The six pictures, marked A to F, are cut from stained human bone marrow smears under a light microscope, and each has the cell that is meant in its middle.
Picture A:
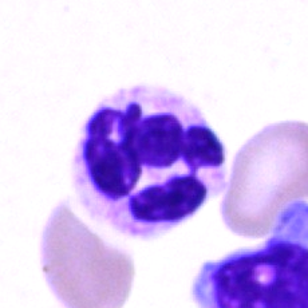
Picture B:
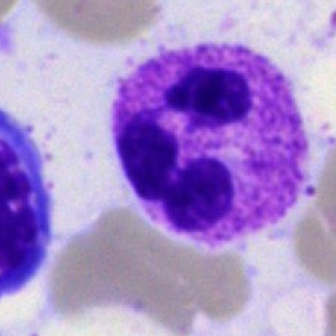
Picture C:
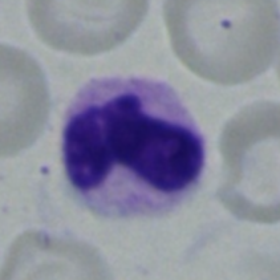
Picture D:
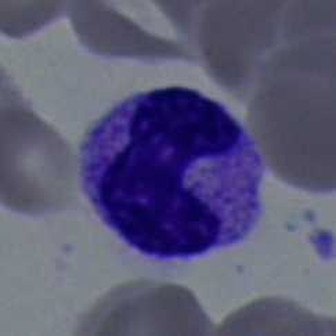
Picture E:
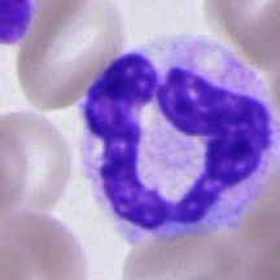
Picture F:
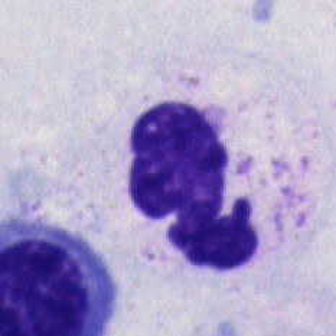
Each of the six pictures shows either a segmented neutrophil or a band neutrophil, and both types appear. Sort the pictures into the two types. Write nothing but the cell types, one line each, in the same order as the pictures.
segmented neutrophil
segmented neutrophil
band neutrophil
band neutrophil
segmented neutrophil
segmented neutrophil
